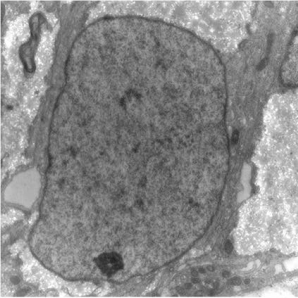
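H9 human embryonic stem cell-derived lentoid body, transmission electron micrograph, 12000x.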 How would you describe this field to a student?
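The nucleus has a smooth double nuclear envelope, finely granular evenly dispersed chromatin and a dense nucleolus near its lower edge. A thin rim of grey cytoplasm surrounds it and abuts neighbouring cells, whose cytoplasm at the sides appears pale and flocculent.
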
